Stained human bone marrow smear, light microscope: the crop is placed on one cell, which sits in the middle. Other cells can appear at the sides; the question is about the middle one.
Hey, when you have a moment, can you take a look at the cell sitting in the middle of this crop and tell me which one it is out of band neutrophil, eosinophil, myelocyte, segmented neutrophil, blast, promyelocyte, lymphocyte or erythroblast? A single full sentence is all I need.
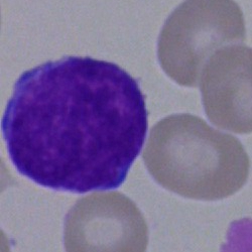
The centered cell in this crop is a blast.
